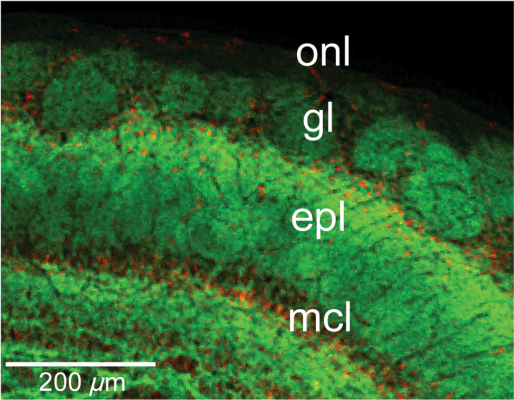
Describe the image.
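This low-magnification section of the olfactory bulb shows its layers stacked as bands from the surface at the top downward. Beneath a thin, darker surface band lies a row of rounded, spherical clusters of neuropil, followed by a broad, finely textured, more uniformly green band. Below that runs a thin band dotted with small red specks.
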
